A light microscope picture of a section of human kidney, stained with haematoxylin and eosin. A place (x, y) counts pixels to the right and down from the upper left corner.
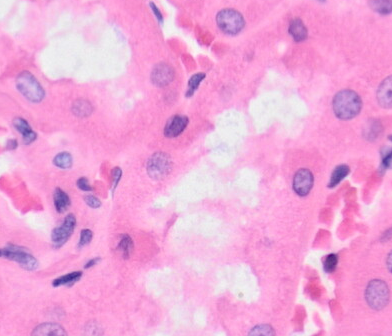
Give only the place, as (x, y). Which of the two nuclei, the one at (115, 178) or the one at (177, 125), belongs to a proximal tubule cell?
(177, 125)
